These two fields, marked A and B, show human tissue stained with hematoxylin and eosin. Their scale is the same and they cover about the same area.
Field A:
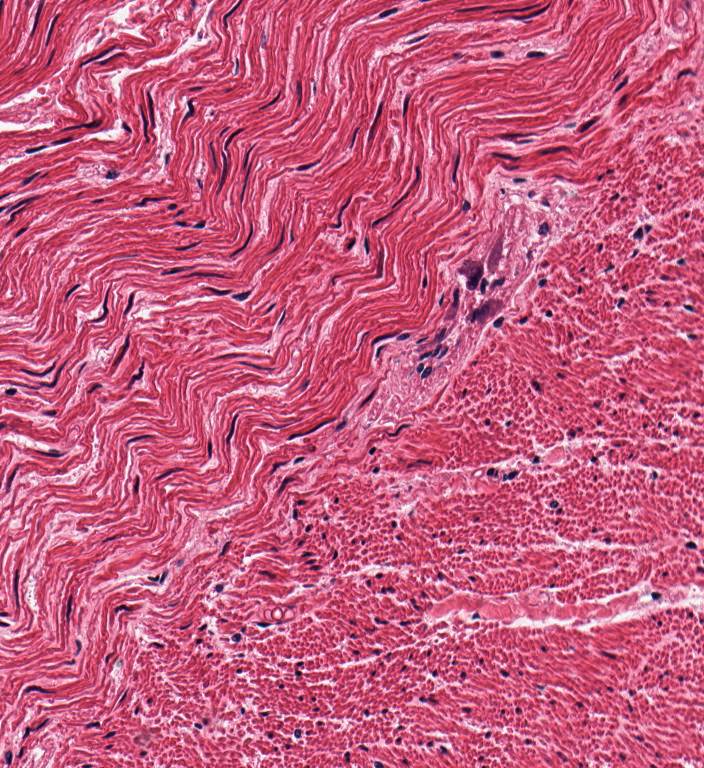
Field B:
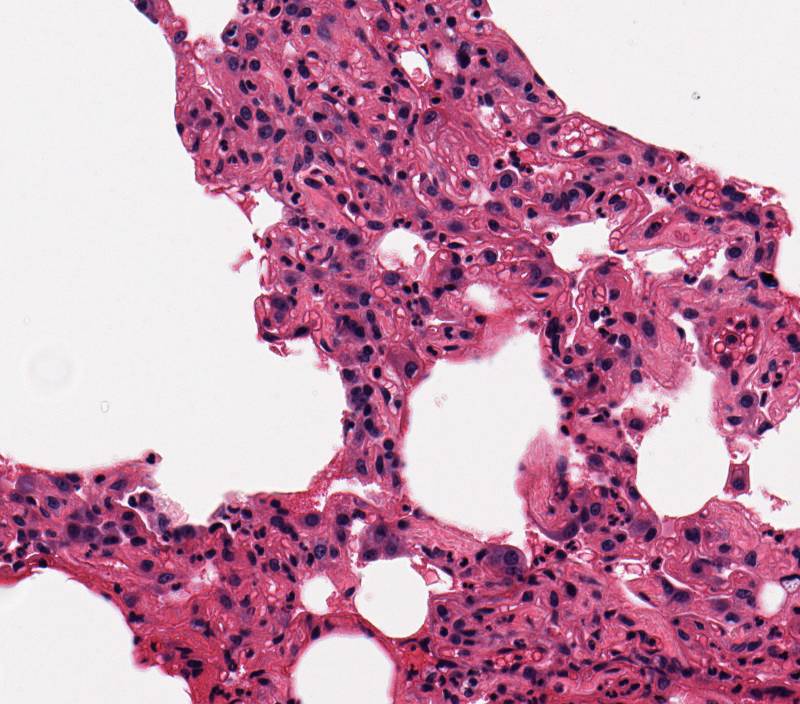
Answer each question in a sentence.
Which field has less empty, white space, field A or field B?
Less of field A is empty and white.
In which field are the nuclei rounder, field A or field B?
The nuclei are rounder in field B.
